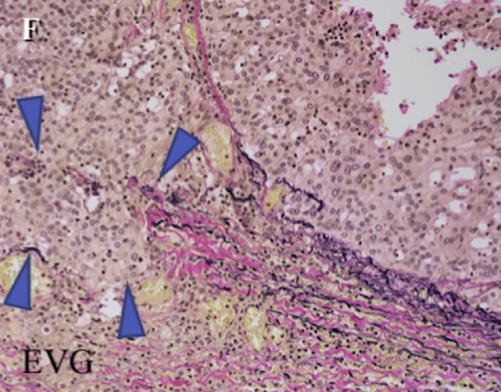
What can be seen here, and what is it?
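This low-power view shows sheets of tumour cells beside a vessel wall. The tumour cells have round nuclei and pale pinkish-brown cytoplasm and fill most of the field. Along the lower right run wavy black elastic fibres with pink-red collagen, forming the wall of a vessel. Yellowish rounded areas lie among the cells near the wall, and an empty space opens at the upper right. Tumour cells reach into and along the black-lined wall where blue arrowheads are drawn.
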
